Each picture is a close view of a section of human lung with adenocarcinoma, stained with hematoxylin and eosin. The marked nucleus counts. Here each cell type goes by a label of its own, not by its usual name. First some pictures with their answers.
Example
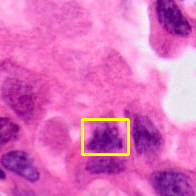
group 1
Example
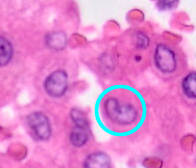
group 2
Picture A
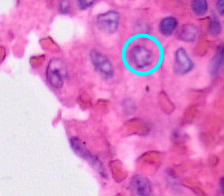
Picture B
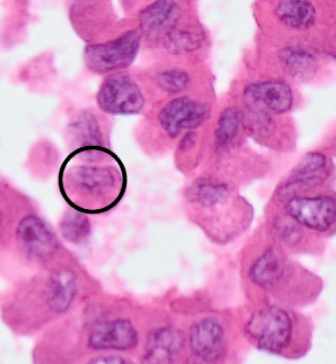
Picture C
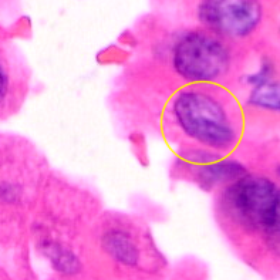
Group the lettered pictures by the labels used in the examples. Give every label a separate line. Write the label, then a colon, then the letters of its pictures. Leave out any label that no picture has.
group 1: B, C
group 2: A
